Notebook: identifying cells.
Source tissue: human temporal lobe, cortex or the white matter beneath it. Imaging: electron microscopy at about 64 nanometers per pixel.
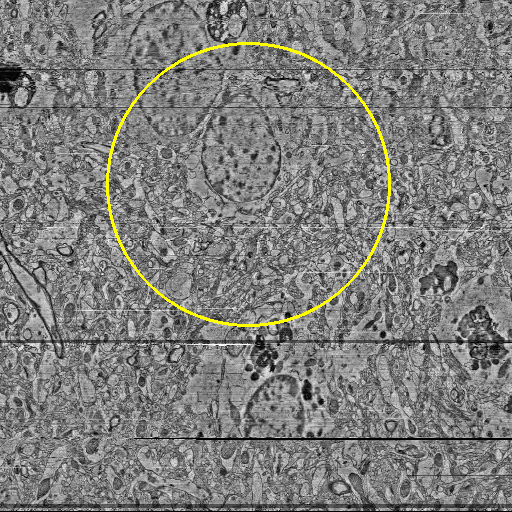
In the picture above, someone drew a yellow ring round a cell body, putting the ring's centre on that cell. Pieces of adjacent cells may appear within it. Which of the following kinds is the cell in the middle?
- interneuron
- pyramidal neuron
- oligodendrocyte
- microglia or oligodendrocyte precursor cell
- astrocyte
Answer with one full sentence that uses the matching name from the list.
In this picture, the yellow ring is centred on the body of an astrocyte.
